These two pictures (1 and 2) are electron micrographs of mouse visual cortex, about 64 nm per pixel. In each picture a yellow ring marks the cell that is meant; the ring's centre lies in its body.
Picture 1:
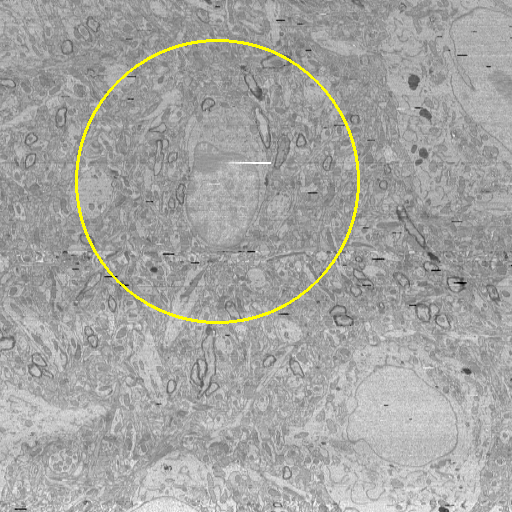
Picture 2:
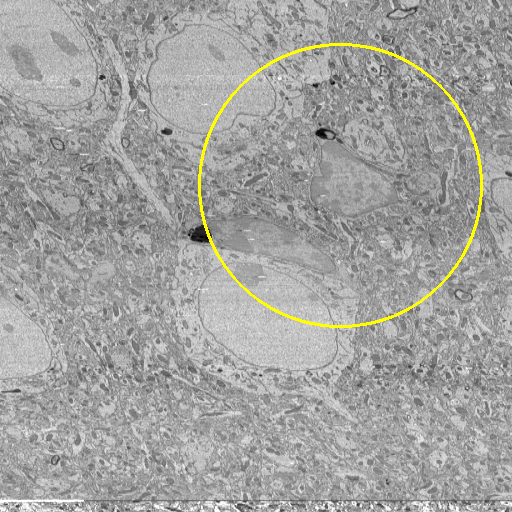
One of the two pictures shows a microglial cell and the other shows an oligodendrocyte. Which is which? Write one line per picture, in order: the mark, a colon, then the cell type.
1: oligodendrocyte
2: microglial cell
